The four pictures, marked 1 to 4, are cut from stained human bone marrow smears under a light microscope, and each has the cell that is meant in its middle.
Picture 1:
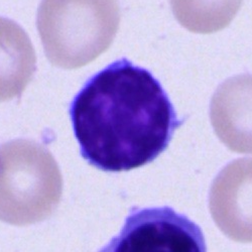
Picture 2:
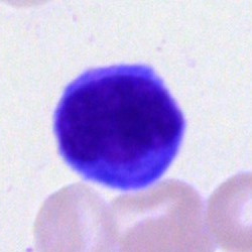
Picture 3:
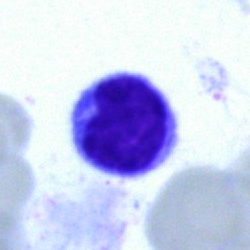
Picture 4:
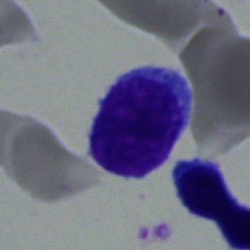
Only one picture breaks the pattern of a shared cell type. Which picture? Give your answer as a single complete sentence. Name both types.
Picture 2 differs, because its cell is a monocyte and the rest are lymphocytes.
